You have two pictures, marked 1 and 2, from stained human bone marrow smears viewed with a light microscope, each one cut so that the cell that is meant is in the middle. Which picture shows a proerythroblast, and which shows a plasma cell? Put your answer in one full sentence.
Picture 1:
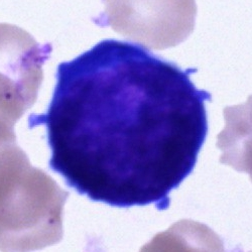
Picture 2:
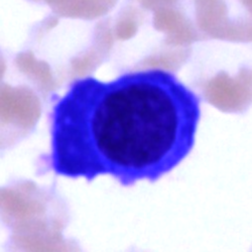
Picture 1 is of a proerythroblast, and picture 2 is of a plasma cell.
